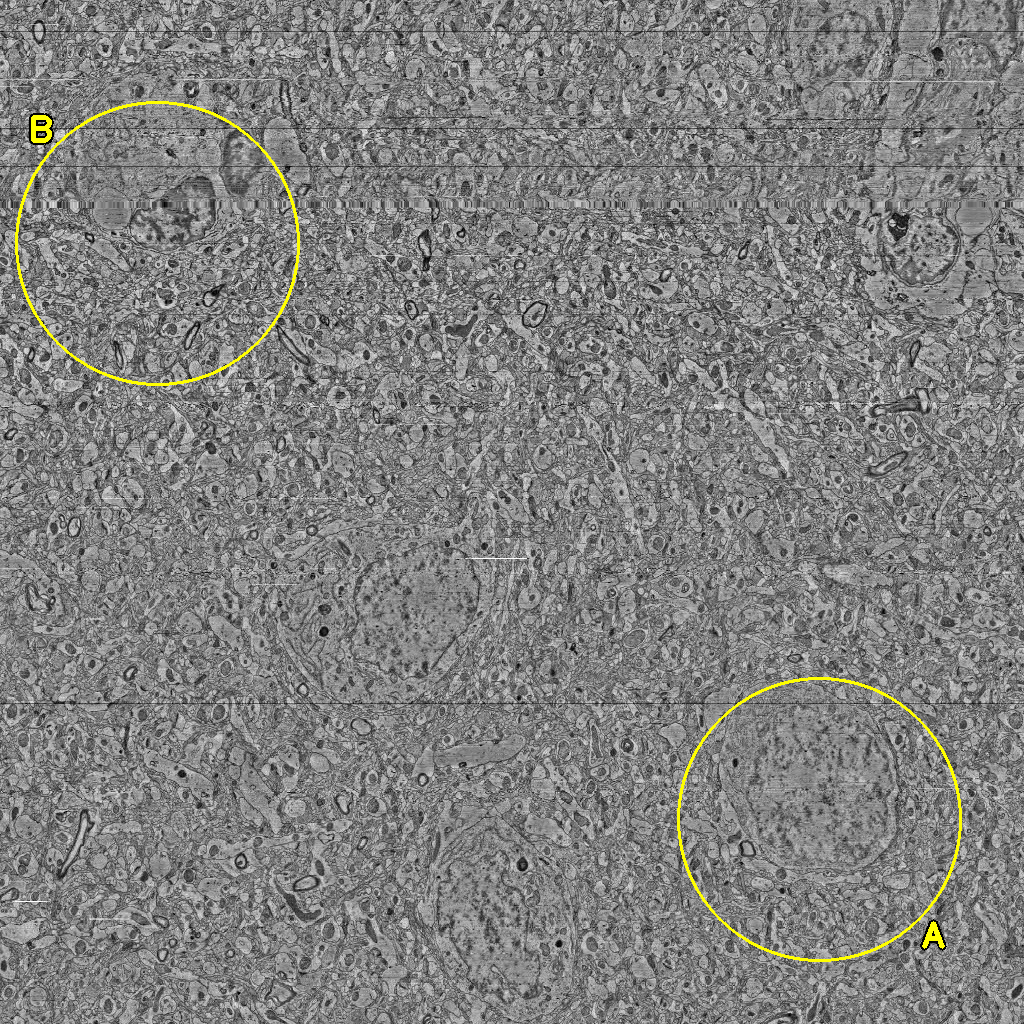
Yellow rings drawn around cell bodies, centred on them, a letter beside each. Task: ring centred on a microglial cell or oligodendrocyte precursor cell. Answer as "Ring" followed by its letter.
Ring B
